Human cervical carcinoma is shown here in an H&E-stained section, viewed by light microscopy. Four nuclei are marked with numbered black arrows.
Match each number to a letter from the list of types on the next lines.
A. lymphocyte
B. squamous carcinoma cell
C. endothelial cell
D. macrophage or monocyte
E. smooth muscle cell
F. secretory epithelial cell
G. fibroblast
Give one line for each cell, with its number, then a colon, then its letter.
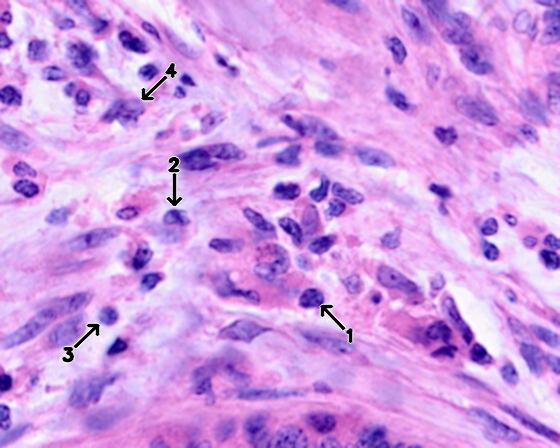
1: A
2: A
3: A
4: D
